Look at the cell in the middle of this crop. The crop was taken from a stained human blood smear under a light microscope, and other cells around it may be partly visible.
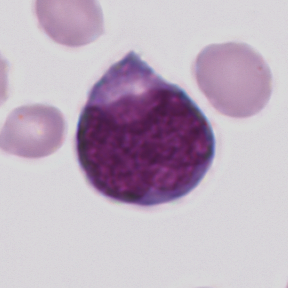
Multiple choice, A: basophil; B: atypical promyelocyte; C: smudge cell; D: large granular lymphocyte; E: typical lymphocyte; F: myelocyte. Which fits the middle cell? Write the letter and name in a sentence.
The cell placed in the middle is an atypical promyelocyte; option B is correct.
